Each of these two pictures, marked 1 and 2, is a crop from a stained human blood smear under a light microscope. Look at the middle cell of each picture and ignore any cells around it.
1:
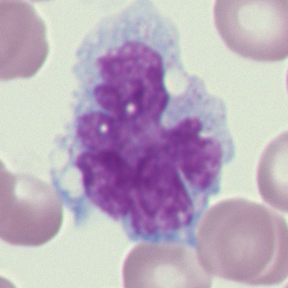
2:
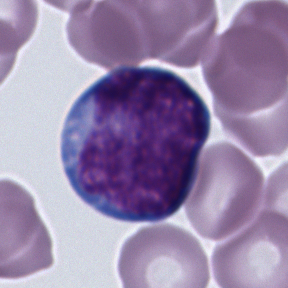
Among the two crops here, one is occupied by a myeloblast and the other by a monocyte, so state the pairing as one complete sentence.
What crop 1 shows is a monocyte, and what crop 2 shows is a myeloblast.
